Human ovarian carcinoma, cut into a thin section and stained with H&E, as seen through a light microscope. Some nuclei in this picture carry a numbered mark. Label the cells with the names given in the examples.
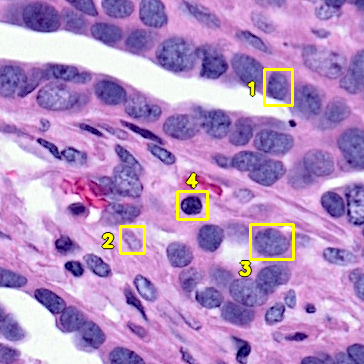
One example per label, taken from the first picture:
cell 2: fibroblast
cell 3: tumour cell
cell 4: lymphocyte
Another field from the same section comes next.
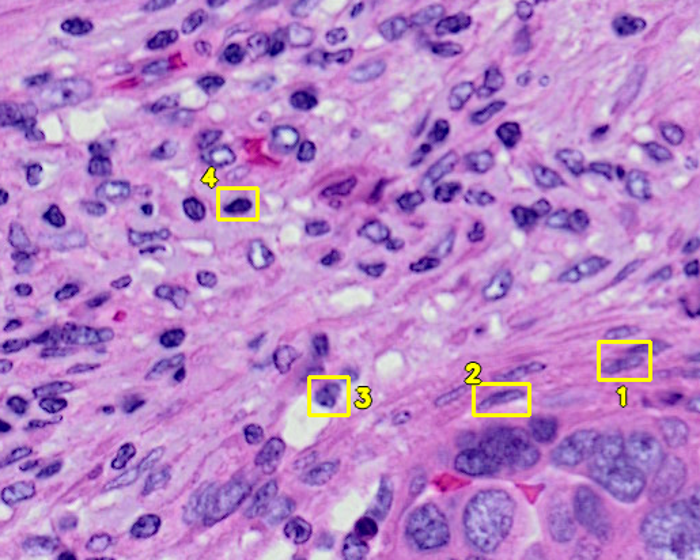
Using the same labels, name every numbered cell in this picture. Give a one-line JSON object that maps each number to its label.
{"1": "fibroblast", "2": "fibroblast", "3": "lymphocyte", "4": "lymphocyte"}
